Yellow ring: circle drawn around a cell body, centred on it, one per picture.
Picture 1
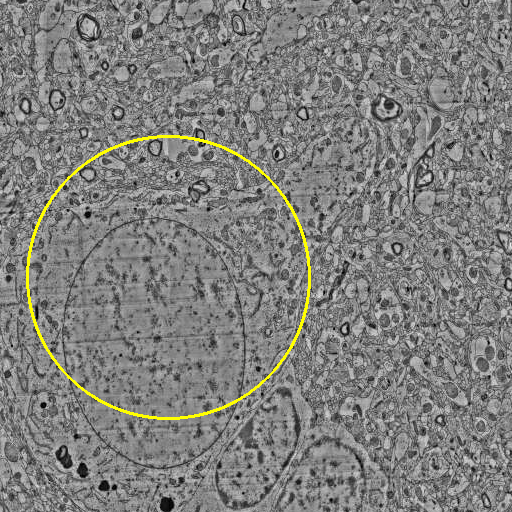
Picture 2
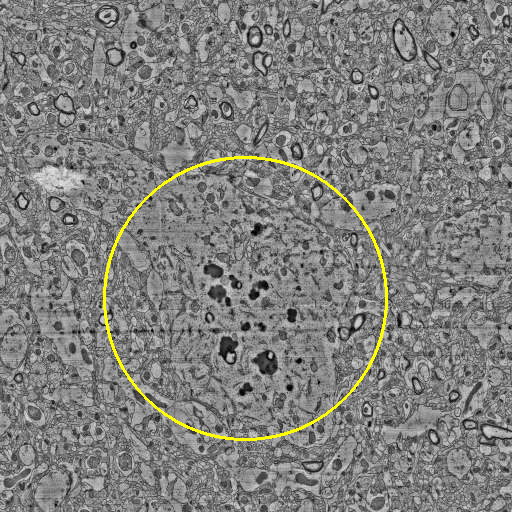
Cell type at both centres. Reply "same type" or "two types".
same type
